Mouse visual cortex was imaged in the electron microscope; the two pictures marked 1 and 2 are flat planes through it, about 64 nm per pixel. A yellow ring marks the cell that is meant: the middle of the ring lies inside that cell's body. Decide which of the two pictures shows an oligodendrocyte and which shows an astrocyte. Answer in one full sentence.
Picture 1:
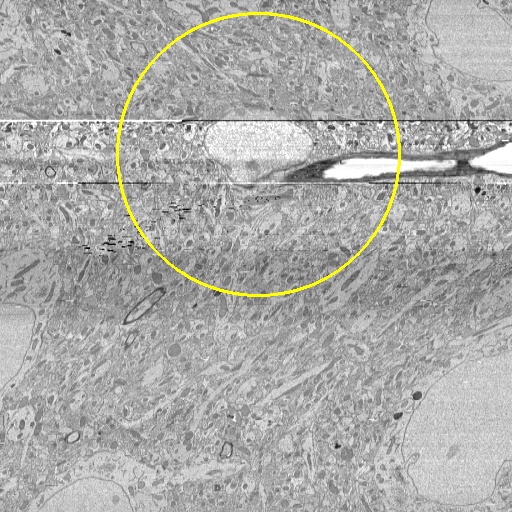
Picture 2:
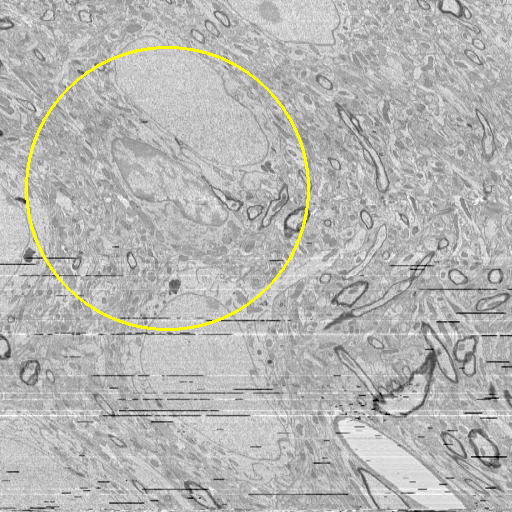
Picture 1 is of an astrocyte, and picture 2 is of an oligodendrocyte.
